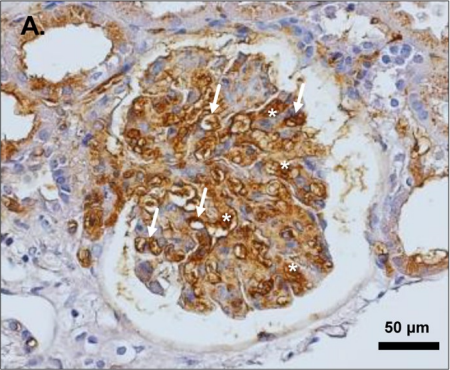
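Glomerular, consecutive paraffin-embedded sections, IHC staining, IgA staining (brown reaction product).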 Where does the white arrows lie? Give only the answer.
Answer: Endothelial positive areas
